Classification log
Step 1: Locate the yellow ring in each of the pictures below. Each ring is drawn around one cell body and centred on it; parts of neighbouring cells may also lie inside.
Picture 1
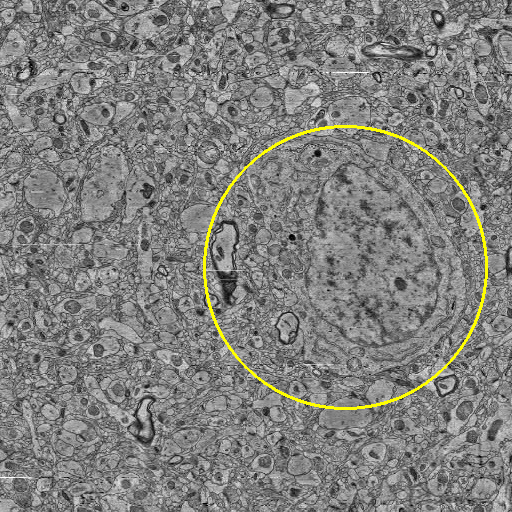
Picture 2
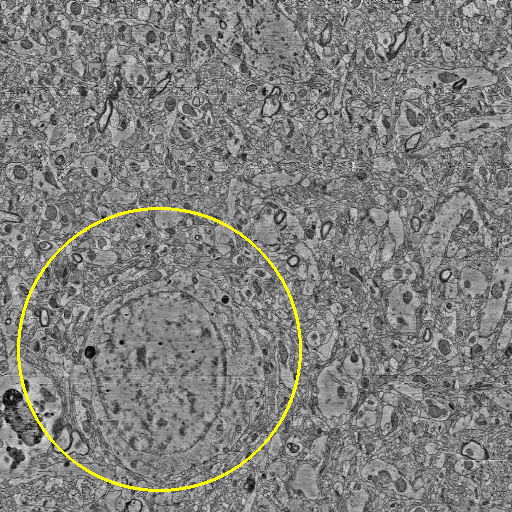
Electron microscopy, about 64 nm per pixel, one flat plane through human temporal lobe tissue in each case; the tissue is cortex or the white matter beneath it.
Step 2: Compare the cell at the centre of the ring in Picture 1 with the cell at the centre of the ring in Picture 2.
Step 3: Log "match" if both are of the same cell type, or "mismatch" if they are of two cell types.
match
